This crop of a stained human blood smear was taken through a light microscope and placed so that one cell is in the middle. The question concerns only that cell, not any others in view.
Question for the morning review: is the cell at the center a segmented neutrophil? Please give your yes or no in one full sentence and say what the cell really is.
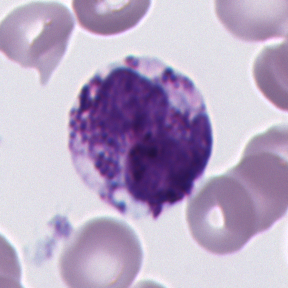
No, in the centre of the crop lies a basophil, not a segmented neutrophil.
